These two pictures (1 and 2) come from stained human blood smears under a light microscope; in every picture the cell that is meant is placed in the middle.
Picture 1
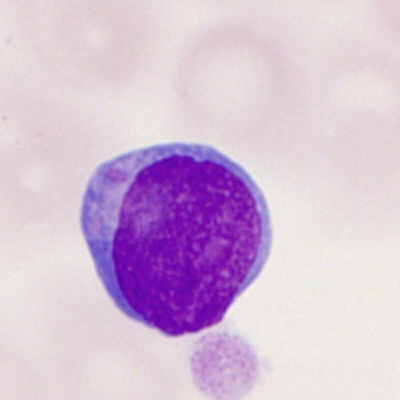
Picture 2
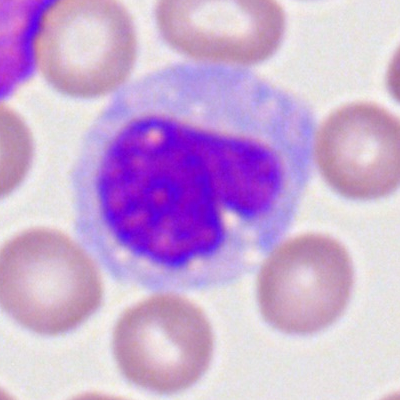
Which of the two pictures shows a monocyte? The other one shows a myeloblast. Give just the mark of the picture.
2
